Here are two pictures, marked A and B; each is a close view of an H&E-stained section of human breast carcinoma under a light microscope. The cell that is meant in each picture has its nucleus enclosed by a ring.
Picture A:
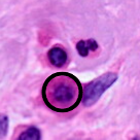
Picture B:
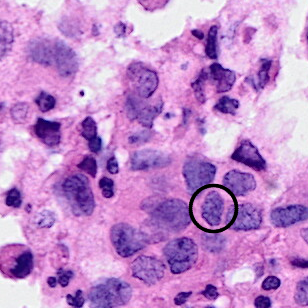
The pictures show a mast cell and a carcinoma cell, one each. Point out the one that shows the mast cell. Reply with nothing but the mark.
A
